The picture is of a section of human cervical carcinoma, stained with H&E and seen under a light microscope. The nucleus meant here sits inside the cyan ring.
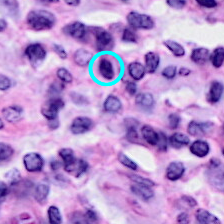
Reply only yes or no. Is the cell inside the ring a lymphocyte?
yes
